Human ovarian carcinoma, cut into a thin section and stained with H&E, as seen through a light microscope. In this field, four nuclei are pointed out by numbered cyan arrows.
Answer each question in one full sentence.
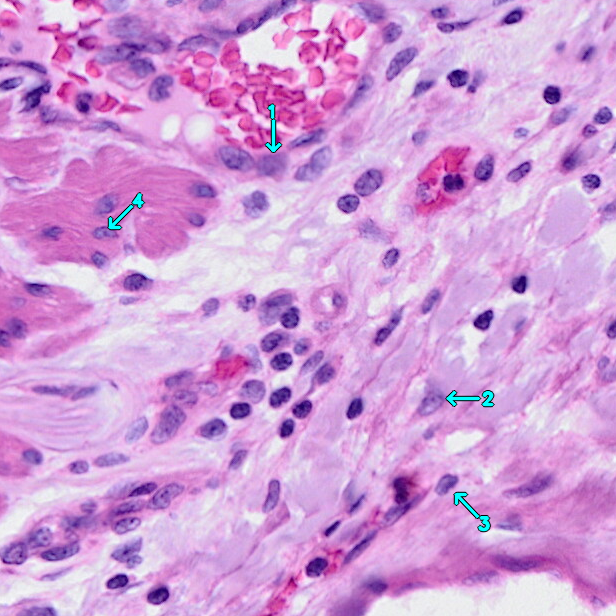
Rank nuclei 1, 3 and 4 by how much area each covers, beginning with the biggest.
Largest first, the order by area is 1, 3, 4.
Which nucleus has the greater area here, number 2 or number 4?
It is nucleus 2, which covers about 4 times the area of nucleus 4.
